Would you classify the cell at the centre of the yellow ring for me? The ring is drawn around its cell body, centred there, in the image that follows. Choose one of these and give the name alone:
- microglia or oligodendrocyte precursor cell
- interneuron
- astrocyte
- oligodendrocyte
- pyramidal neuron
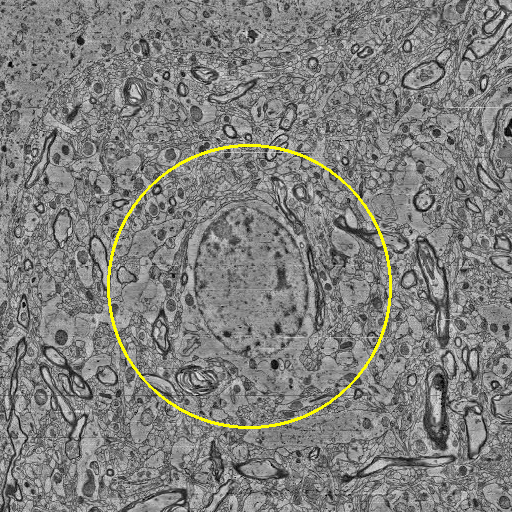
astrocyte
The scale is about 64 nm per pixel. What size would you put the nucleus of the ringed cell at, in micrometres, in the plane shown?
In this plane, about 10 micrometres in length and 8 in width.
